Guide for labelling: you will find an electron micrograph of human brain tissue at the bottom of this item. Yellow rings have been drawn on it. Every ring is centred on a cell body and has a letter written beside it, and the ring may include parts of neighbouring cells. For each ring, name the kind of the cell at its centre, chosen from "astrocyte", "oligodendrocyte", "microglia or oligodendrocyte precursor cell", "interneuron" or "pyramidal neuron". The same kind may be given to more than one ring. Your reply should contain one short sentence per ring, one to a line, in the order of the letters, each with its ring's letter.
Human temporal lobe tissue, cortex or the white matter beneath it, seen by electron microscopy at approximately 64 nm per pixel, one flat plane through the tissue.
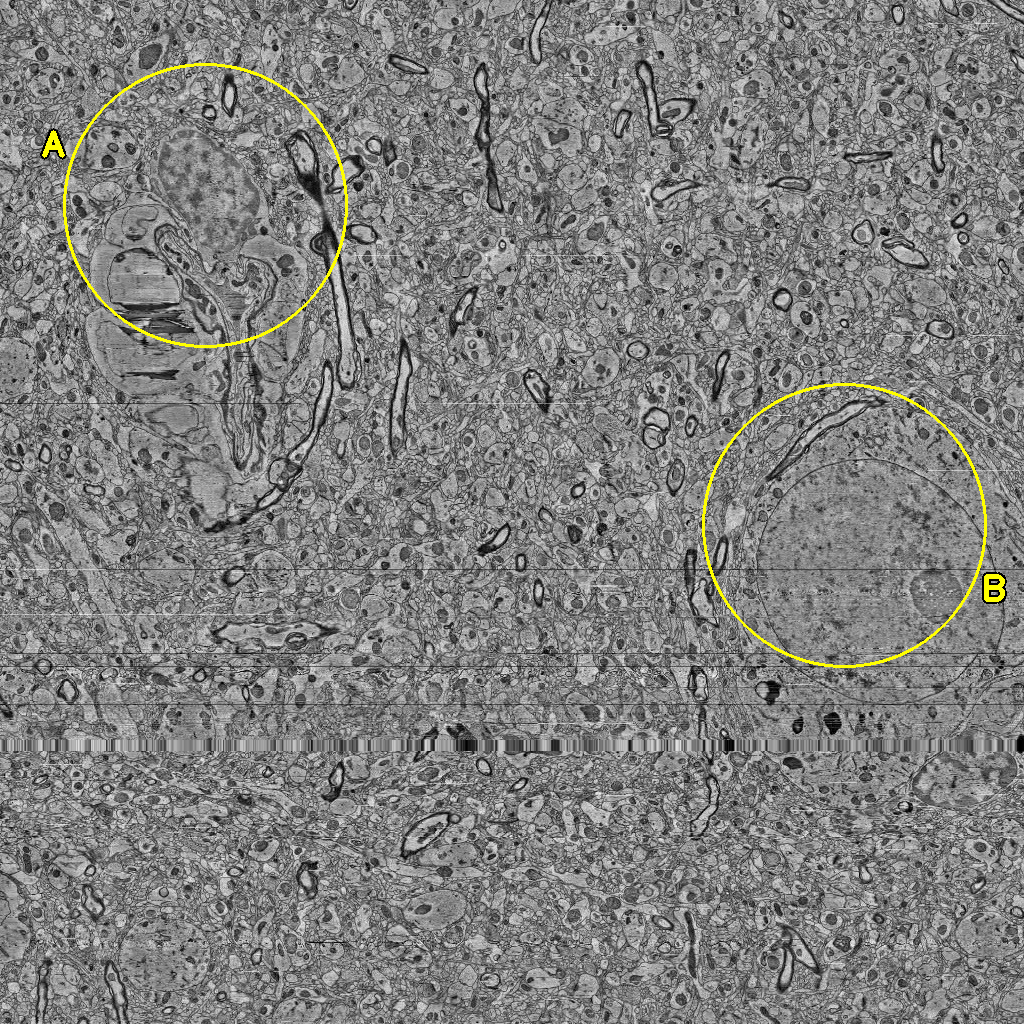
Ring A is centred on the body of an oligodendrocyte.
Ring B is centred on the body of a pyramidal neuron.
